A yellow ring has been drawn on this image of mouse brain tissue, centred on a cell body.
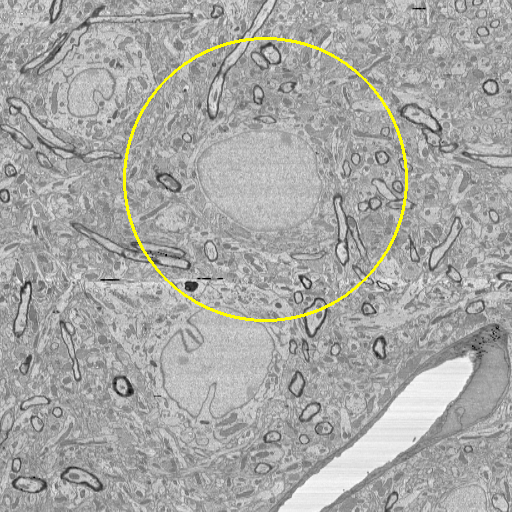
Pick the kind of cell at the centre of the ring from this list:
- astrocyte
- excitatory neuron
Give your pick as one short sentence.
The centre of the ring holds an astrocyte.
